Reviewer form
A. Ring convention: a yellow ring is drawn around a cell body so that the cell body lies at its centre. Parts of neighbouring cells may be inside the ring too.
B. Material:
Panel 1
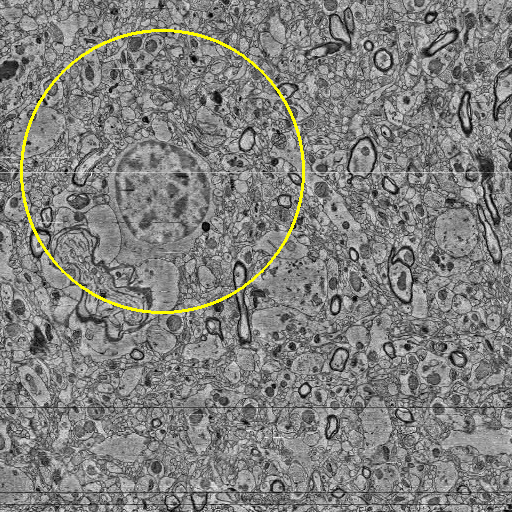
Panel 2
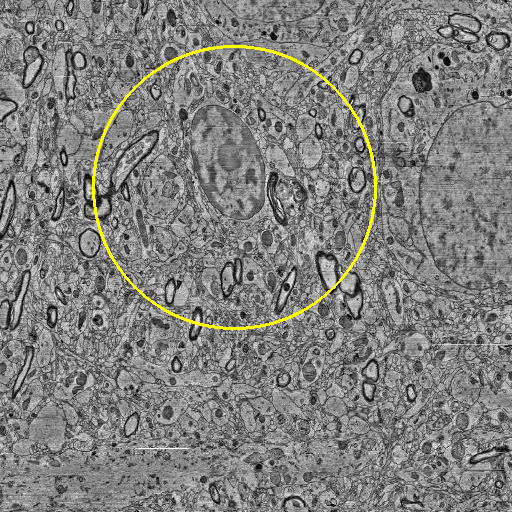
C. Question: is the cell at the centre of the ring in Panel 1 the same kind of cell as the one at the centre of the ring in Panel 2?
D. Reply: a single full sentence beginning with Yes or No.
No, the cells in Panel 1 and Panel 2 are two kinds of cell.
